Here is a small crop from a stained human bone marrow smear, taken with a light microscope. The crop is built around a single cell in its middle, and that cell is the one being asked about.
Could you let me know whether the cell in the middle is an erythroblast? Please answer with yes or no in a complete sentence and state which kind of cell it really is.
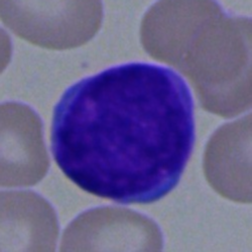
No, the centered cell is a blast and not an erythroblast at all.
